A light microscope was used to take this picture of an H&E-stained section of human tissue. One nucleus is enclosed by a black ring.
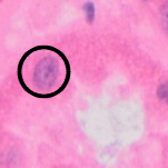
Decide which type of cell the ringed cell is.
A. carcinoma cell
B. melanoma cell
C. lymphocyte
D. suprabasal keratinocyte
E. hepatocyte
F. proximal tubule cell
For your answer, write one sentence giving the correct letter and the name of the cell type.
As the ringed cell is a proximal tubule cell, the correct choice is option F.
